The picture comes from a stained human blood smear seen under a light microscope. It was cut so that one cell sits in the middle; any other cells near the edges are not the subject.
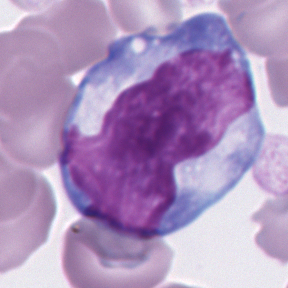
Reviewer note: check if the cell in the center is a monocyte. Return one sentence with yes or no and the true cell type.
Yes, the centre of the crop holds a monocyte.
